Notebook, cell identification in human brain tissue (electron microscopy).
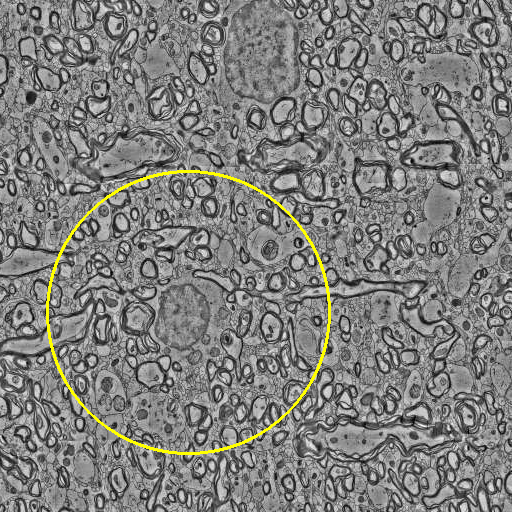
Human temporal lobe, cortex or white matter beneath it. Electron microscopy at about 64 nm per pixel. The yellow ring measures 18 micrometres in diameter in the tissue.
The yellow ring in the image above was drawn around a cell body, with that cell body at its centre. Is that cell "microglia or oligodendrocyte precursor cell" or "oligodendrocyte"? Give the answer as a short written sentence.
The cell in the ring is an oligodendrocyte.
